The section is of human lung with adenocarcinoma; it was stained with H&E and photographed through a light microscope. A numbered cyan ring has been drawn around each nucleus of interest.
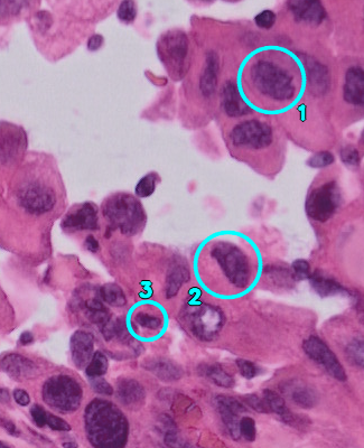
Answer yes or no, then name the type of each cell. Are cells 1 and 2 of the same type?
Yes, of the numbered cells, 1 and 2 are both carcinoma cells.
